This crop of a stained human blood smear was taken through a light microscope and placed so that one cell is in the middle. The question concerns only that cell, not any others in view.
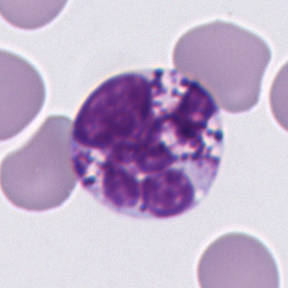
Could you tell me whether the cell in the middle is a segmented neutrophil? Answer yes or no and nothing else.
no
